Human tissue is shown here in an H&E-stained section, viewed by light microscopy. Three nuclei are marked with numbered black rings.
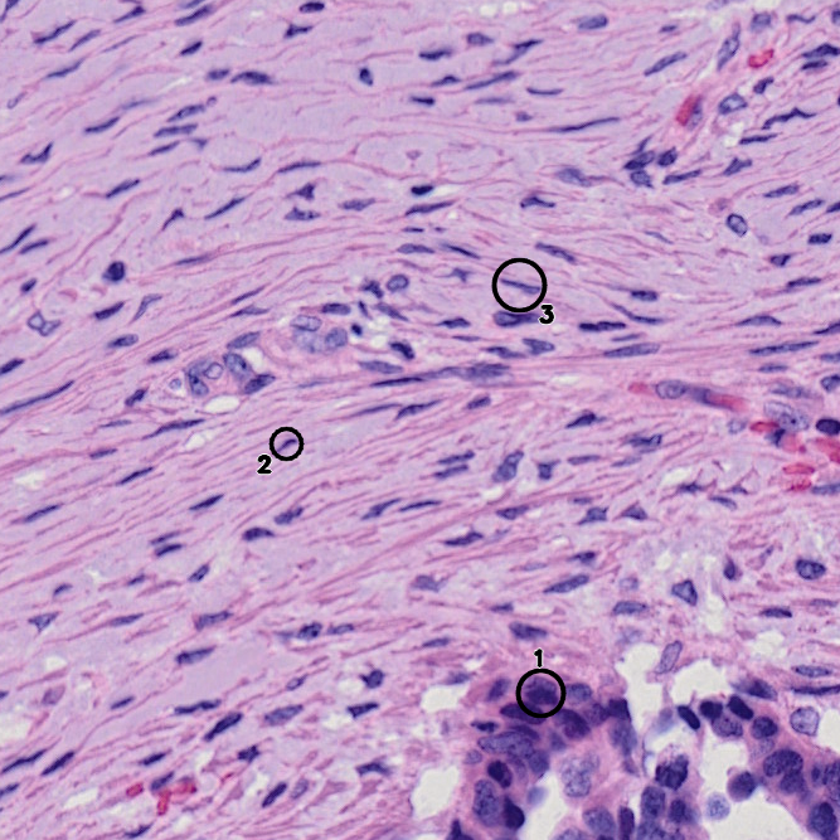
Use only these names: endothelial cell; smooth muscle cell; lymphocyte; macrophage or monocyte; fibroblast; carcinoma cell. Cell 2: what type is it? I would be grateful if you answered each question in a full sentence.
The cell indicated by marker 2 is a fibroblast in this section.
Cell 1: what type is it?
The cell that bears the number 1 is a carcinoma cell.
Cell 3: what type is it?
Number 3 is placed on a fibroblast here.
